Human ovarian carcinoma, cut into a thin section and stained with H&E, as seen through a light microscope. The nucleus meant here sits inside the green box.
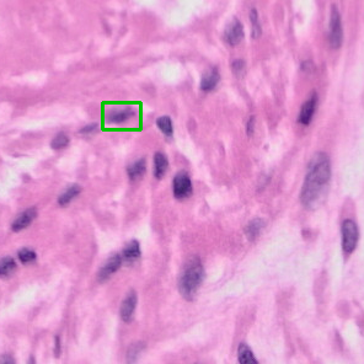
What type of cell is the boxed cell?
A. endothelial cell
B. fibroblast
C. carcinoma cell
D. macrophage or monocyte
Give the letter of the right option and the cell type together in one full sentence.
Option B is the right choice, for the boxed cell is a fibroblast.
